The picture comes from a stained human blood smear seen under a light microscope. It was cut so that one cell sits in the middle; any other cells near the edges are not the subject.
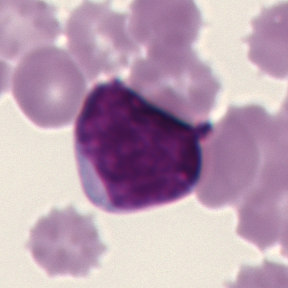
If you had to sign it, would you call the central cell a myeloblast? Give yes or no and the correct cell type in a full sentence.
Yes, the crop's central cell is a myeloblast.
